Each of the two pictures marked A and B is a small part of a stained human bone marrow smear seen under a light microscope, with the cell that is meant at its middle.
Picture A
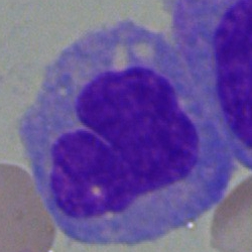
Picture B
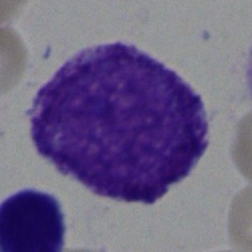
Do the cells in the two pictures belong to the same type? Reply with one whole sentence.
No; the cell in picture A is a monocyte, while the one in picture B is a blast.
